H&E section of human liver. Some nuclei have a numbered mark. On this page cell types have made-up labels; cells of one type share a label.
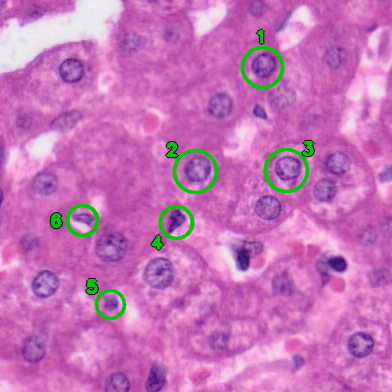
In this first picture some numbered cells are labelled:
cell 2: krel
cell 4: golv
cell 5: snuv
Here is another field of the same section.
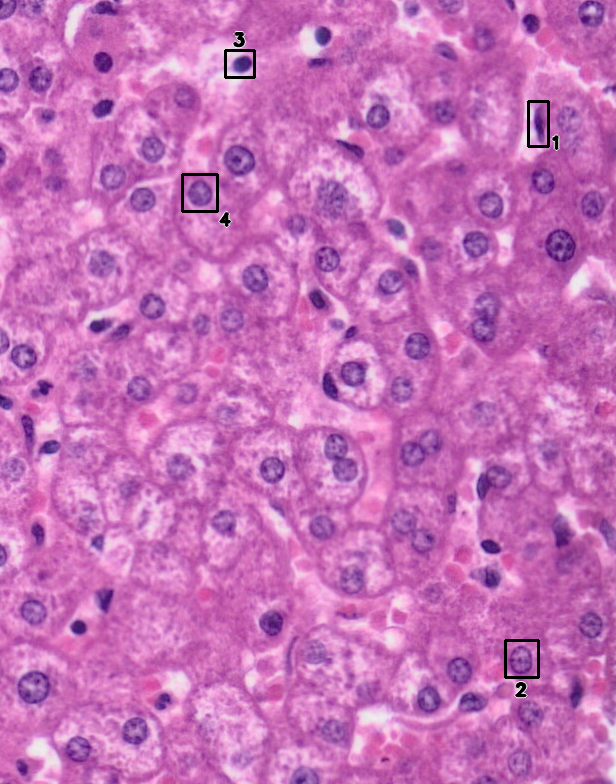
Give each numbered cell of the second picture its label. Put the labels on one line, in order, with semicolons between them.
golv; krel; snuv; krel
